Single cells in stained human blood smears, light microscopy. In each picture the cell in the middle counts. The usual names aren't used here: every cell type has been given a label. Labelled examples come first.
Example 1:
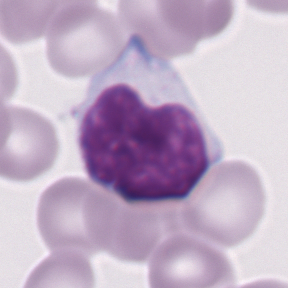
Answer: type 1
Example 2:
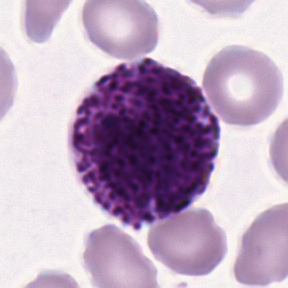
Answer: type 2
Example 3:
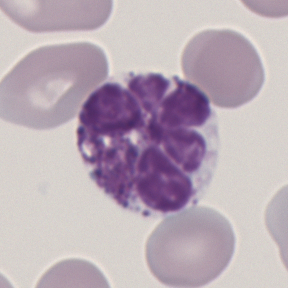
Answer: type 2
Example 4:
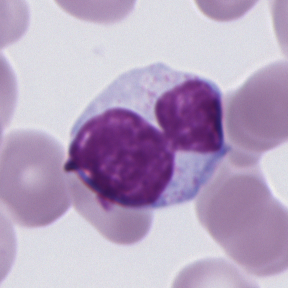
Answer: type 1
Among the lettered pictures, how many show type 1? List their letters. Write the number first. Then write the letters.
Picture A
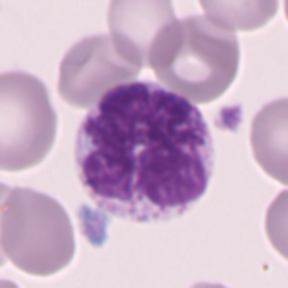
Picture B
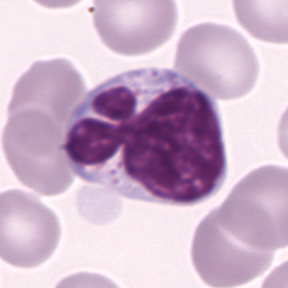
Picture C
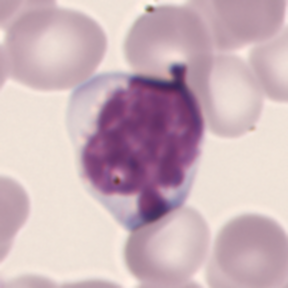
2: B, C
